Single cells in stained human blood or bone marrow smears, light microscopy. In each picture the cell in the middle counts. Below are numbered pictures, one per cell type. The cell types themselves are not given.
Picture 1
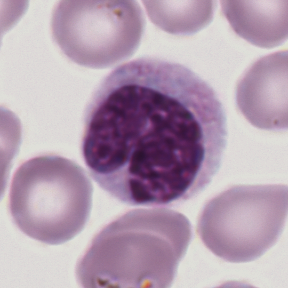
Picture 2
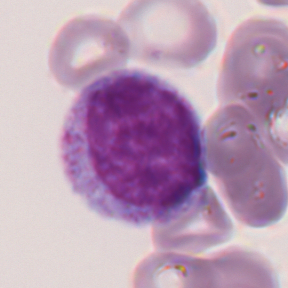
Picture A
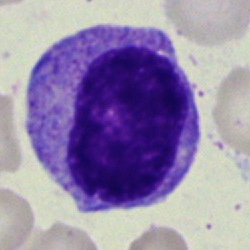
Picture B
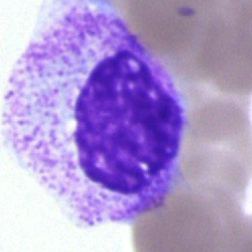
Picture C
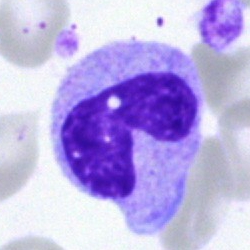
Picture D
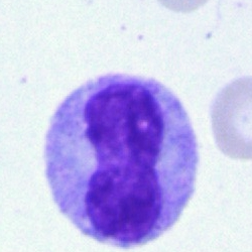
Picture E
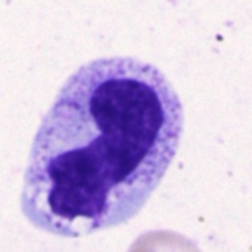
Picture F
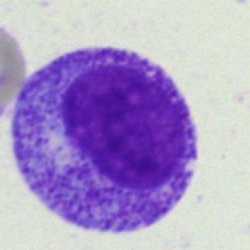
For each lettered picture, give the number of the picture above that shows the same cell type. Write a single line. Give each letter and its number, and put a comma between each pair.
A 2, B 2, C 1, D 1, E 1, F 2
